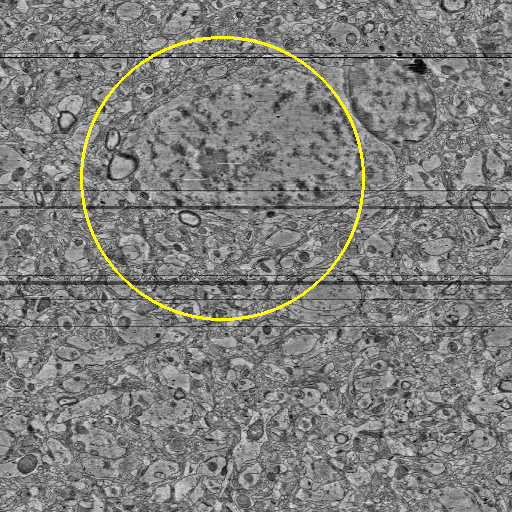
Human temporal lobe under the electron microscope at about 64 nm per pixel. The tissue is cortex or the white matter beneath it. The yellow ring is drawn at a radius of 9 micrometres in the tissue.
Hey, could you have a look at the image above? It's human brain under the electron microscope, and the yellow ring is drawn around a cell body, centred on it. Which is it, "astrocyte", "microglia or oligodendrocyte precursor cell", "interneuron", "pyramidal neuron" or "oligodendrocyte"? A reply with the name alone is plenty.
interneuron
